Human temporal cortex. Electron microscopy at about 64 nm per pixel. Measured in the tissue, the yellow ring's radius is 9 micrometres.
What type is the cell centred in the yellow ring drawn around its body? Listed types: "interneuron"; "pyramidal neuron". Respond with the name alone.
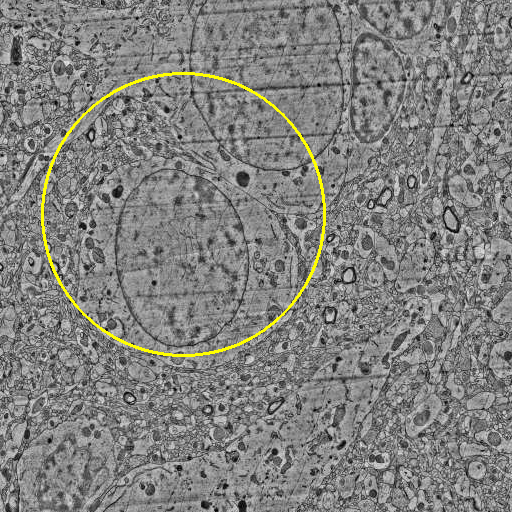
pyramidal neuron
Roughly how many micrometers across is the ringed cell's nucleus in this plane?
In this plane the nucleus measures roughly 11 by 9 micrometres.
